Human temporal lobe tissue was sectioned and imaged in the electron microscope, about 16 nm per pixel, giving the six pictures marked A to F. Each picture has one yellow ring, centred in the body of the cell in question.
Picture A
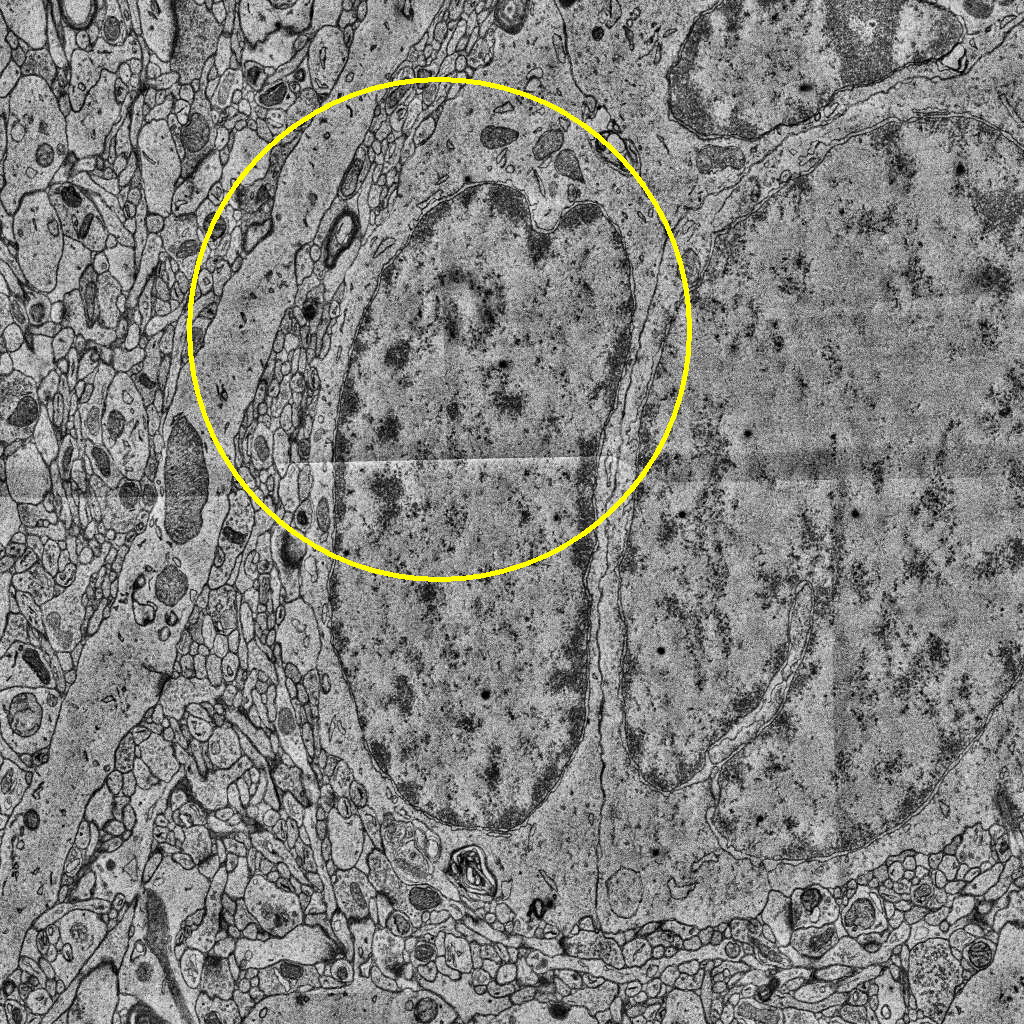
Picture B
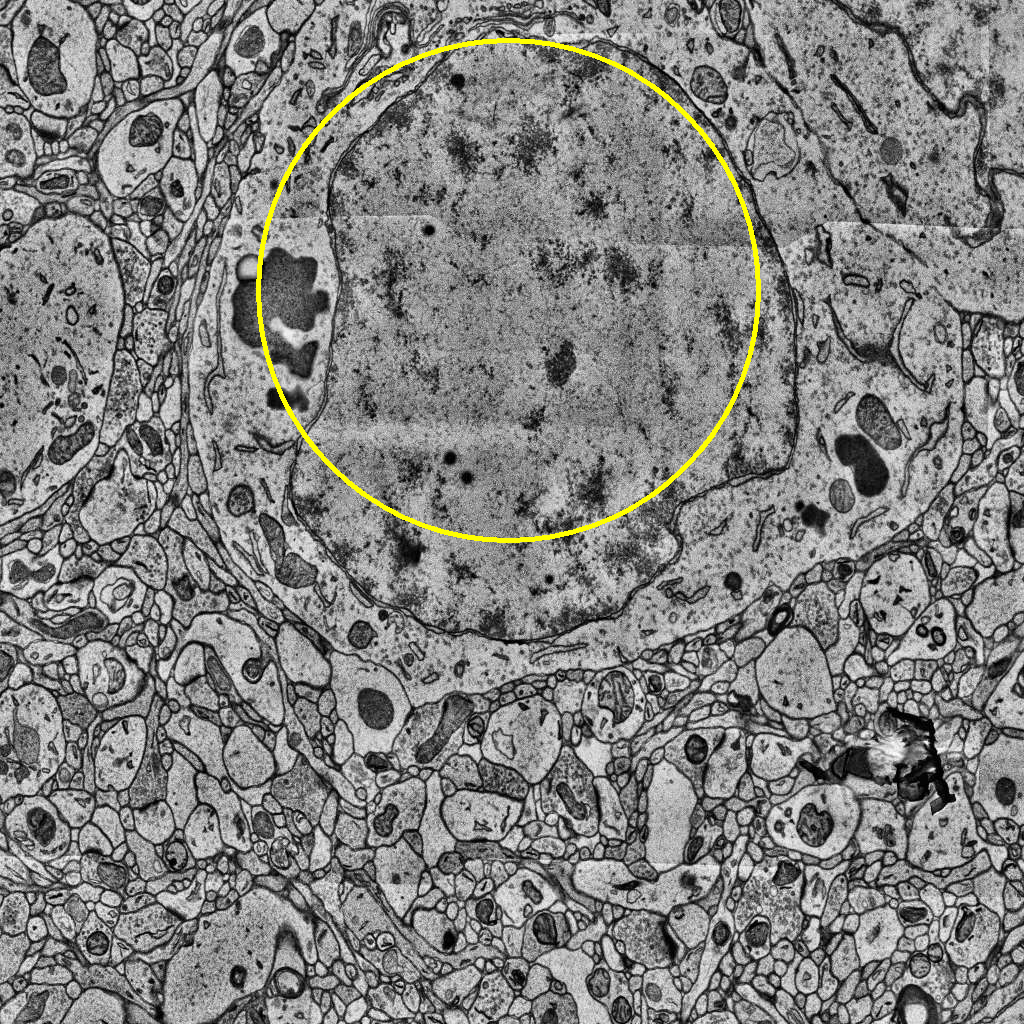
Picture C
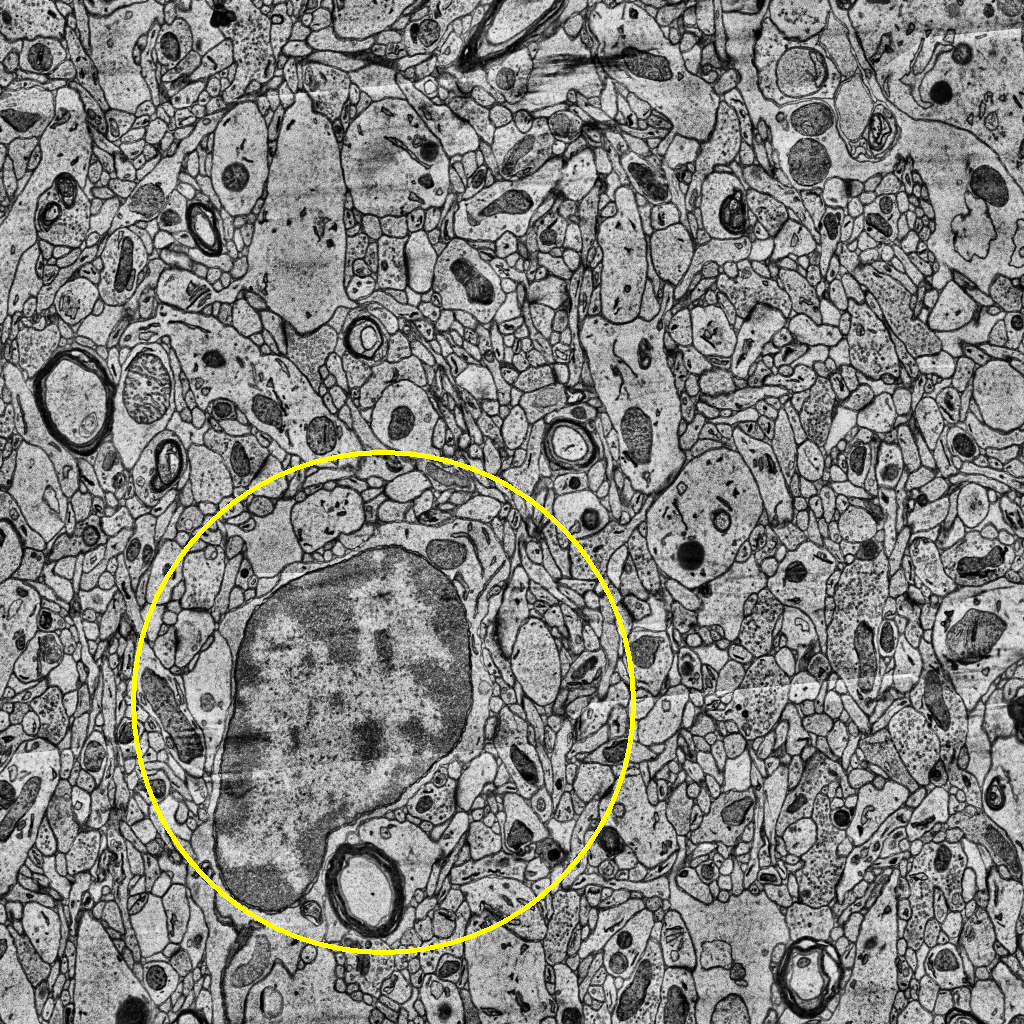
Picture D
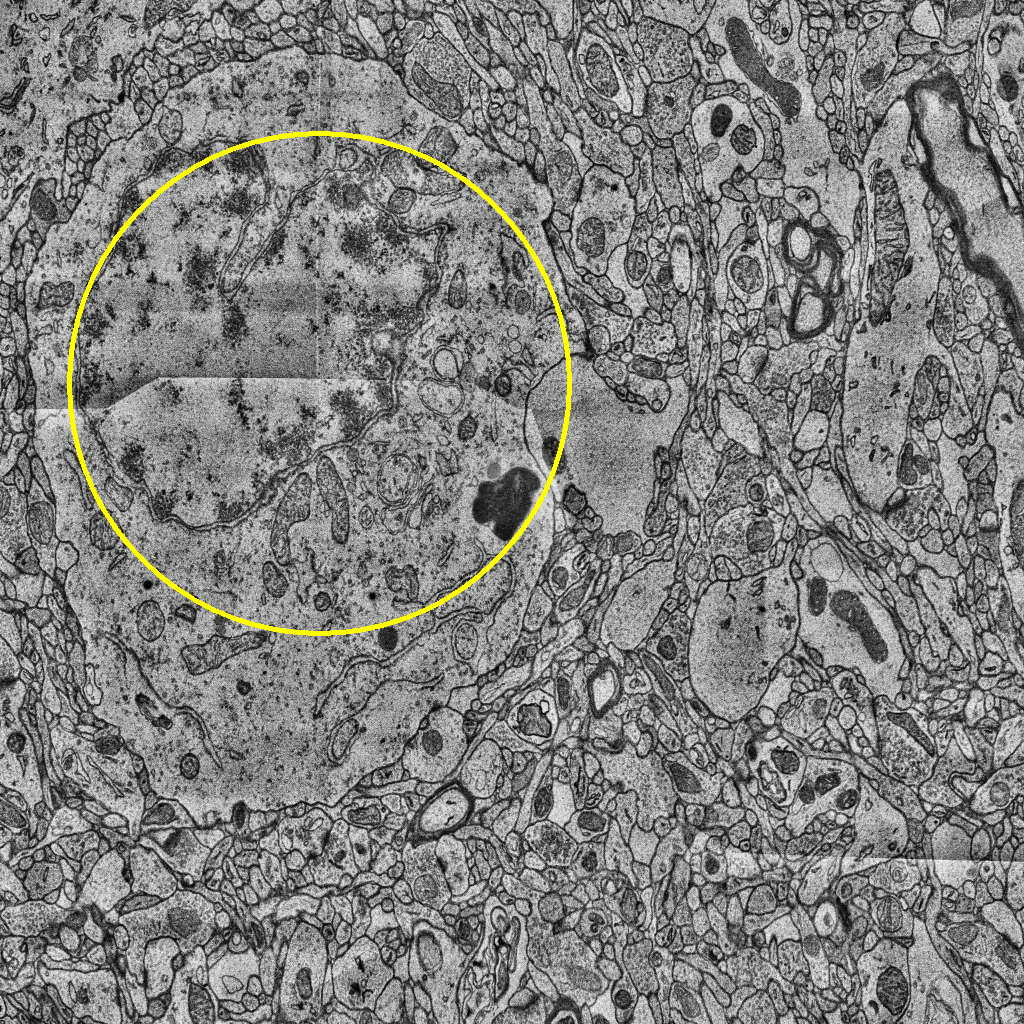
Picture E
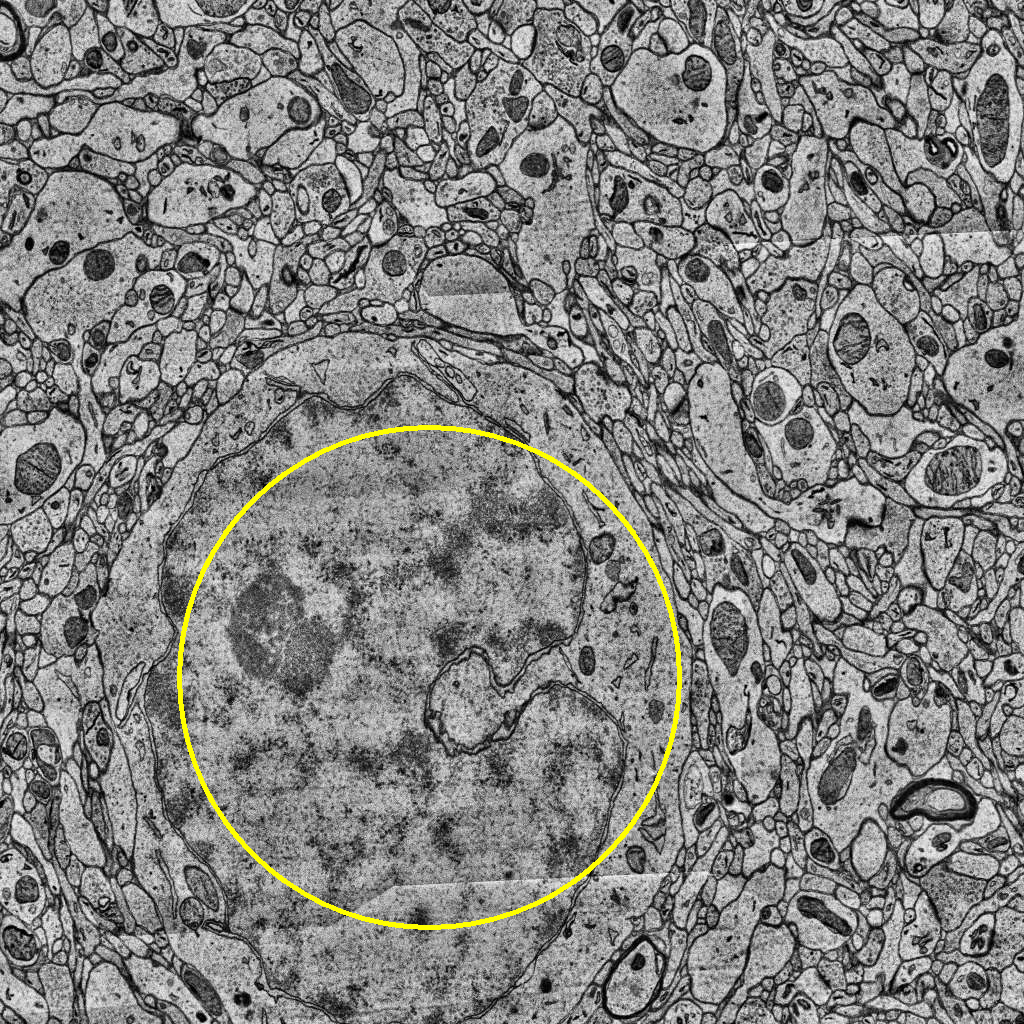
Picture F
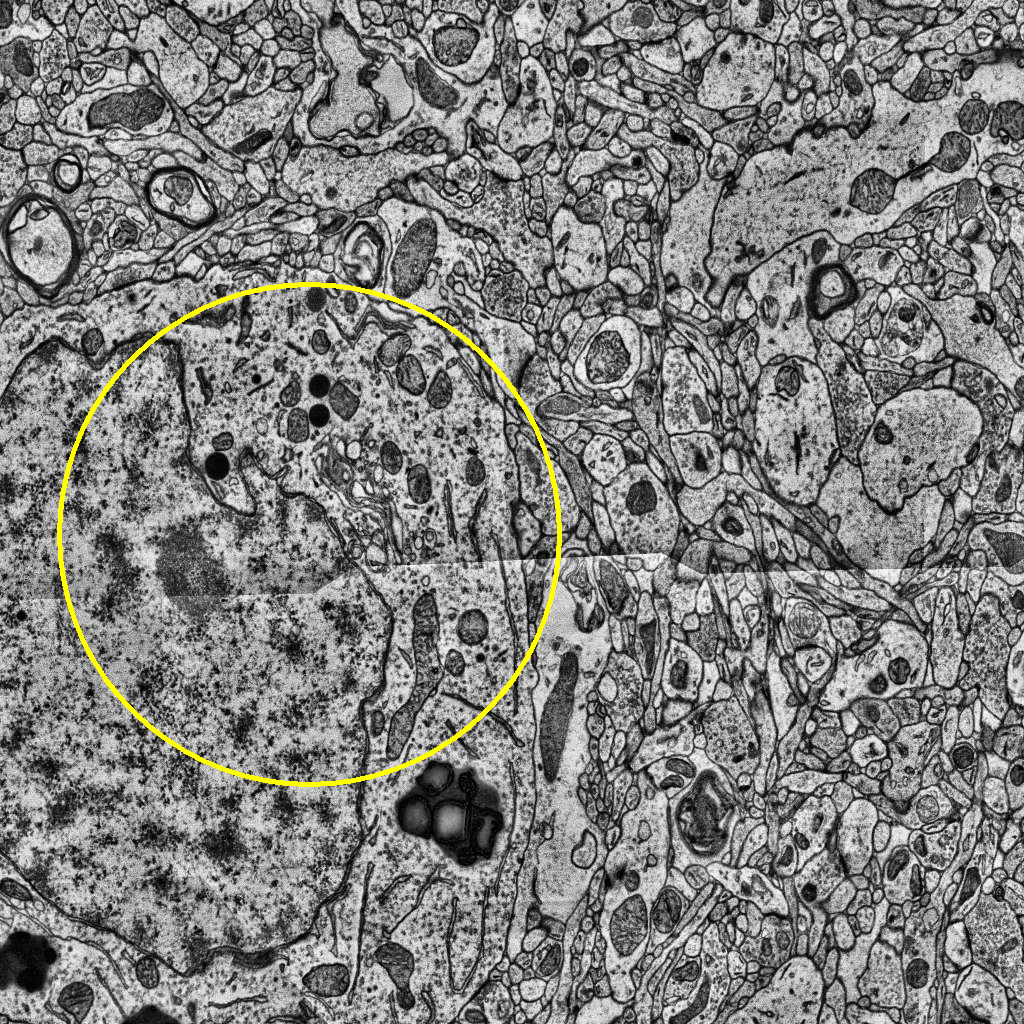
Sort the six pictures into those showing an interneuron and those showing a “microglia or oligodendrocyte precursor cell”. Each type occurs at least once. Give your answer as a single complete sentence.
Pictures B, D, E and F show interneurons, and pictures A and C show “microglia or oligodendrocyte precursor cells”.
